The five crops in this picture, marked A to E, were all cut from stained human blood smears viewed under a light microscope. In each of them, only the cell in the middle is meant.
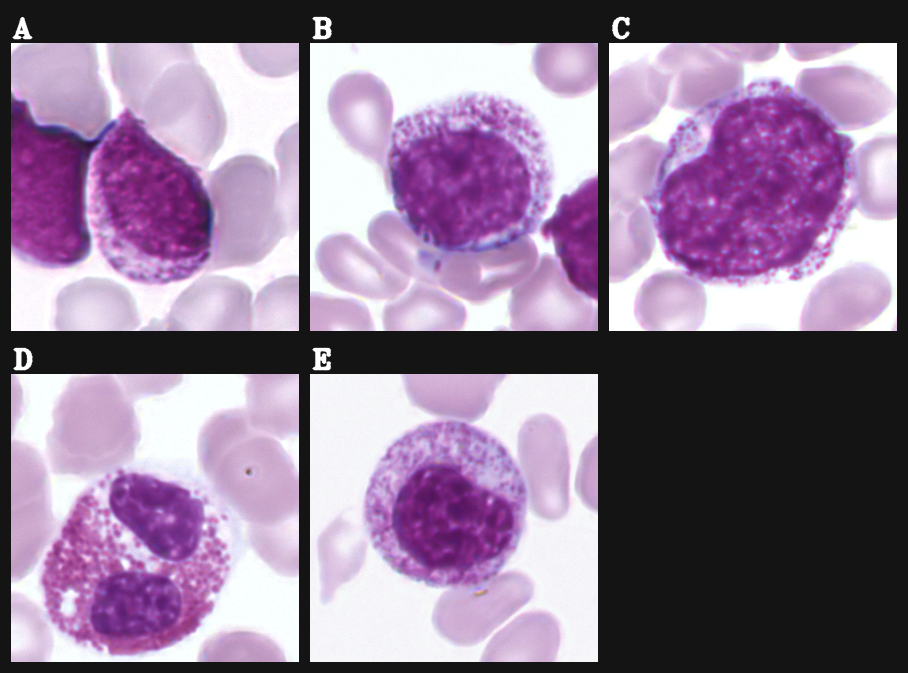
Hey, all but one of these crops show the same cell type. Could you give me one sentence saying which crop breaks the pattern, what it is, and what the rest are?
Crop D is the exception in this set, showing an eosinophil while the others show myelocytes.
